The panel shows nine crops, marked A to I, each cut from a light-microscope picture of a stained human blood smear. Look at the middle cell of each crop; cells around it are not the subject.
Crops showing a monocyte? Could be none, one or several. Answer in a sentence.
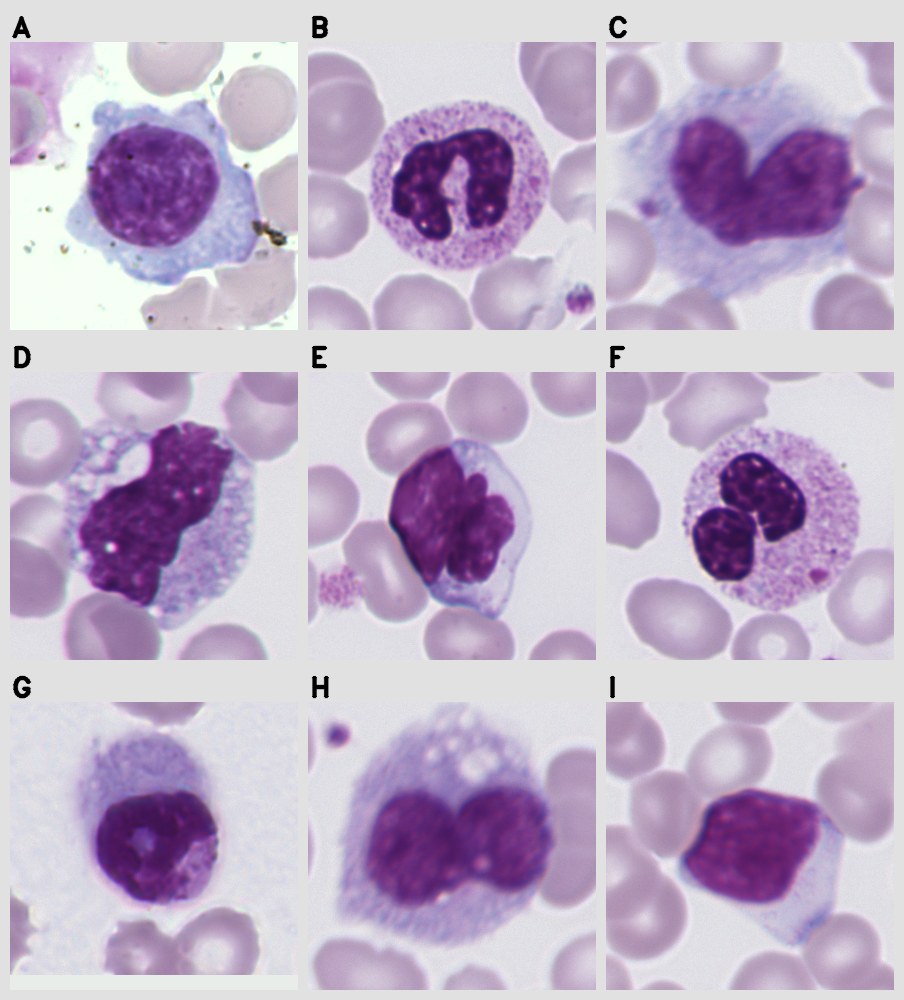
Placed at the centre of crops C, D and H are monocytes.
